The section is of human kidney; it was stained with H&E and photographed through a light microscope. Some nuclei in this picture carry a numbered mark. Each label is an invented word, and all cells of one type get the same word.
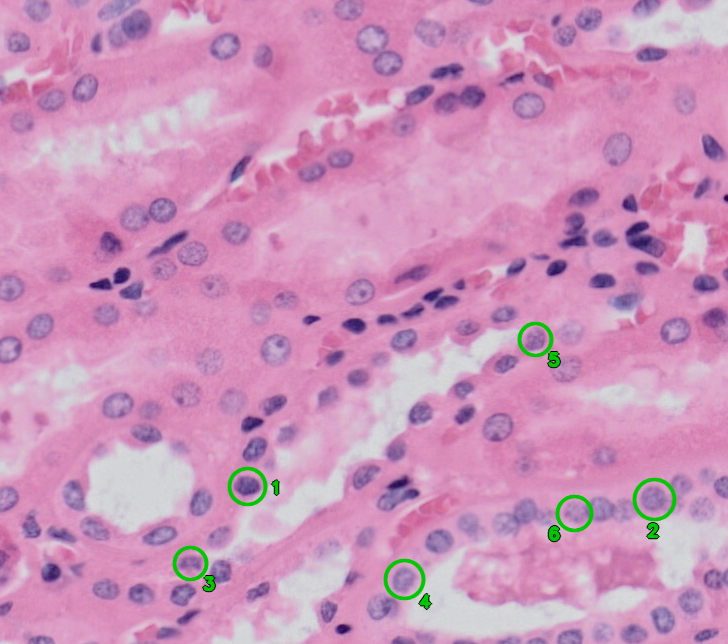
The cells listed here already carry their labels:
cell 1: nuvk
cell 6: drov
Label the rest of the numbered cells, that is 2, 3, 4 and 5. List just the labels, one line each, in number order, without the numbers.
drov
nuvk
drov
nuvk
